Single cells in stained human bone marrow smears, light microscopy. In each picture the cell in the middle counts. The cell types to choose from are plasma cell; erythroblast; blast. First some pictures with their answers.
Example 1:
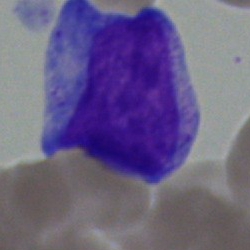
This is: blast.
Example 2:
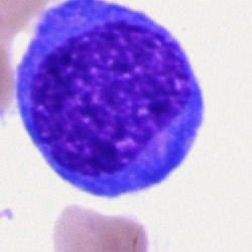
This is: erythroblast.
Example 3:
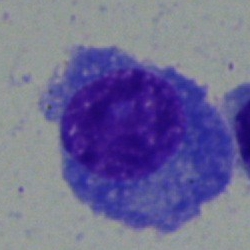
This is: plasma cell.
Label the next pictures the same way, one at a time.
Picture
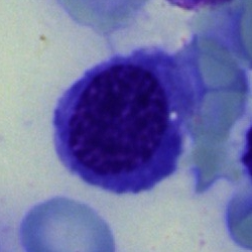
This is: erythroblast.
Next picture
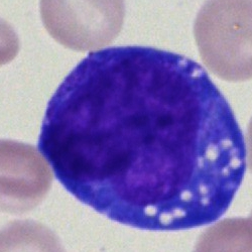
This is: blast.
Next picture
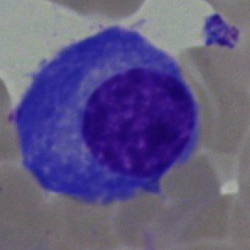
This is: plasma cell.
